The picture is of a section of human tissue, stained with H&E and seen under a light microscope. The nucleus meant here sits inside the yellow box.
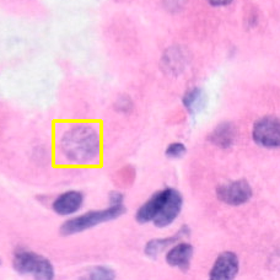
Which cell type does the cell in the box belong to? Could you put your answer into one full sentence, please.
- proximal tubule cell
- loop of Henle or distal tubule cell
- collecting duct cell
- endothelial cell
Cytologically, the cell in the box is to be regarded as a proximal tubule cell.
